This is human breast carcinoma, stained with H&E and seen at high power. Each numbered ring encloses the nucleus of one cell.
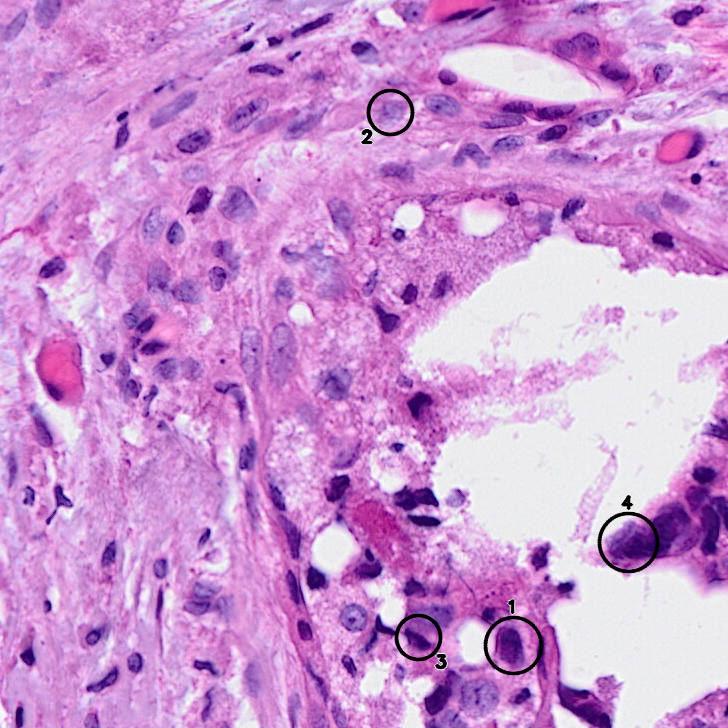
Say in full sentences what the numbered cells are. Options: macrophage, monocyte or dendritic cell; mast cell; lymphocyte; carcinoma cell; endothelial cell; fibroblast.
Cells 1, 3 and 4 are carcinoma cells. Cell 2 is a fibroblast.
